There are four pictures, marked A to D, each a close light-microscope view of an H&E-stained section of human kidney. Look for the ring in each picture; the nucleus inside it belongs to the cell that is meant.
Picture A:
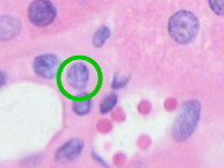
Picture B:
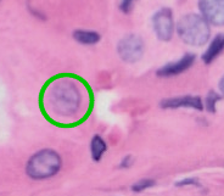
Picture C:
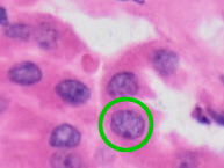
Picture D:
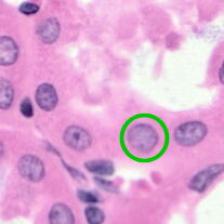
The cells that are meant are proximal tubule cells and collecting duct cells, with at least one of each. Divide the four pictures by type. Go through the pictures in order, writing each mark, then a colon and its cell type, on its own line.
A: collecting duct cell
B: proximal tubule cell
C: proximal tubule cell
D: proximal tubule cell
